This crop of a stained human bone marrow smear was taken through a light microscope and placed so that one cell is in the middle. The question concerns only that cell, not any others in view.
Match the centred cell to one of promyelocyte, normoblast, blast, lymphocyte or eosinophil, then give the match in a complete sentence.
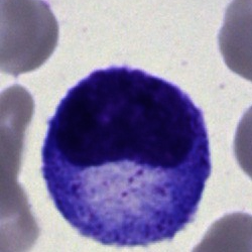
For this crop, the central cell is a promyelocyte.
